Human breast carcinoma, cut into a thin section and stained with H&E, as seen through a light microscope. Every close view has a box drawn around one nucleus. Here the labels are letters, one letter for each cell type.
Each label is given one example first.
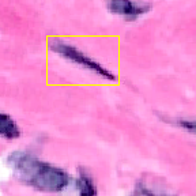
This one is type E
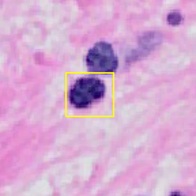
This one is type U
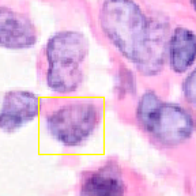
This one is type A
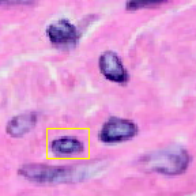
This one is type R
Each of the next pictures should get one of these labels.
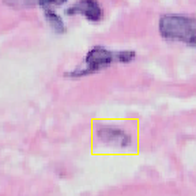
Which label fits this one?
type E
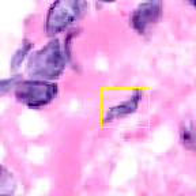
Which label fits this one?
type E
